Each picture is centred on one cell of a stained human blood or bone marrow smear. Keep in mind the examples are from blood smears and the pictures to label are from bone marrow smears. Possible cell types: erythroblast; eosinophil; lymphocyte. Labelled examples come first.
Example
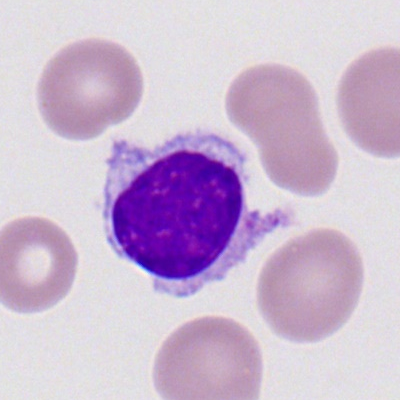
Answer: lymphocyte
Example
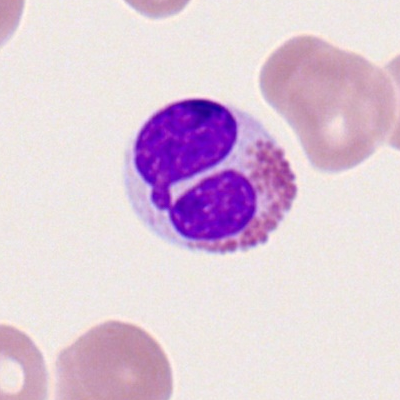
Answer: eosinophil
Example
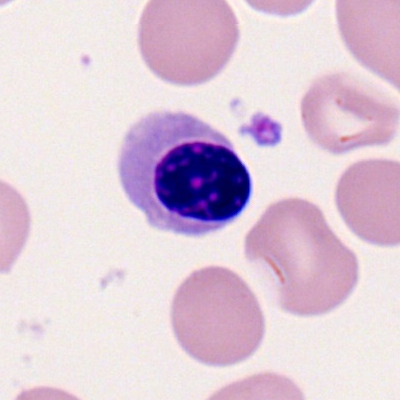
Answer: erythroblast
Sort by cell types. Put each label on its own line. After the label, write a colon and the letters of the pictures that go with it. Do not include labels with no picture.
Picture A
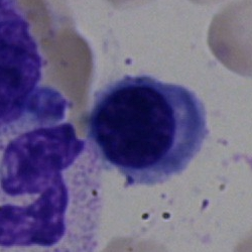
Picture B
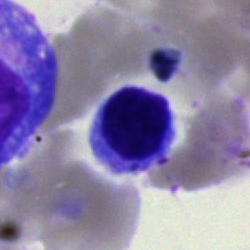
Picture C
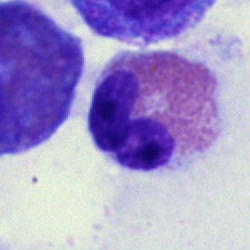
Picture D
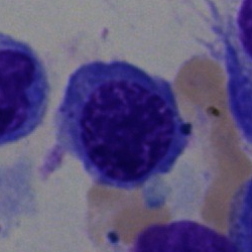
erythroblast: A, D
eosinophil: C
lymphocyte: B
